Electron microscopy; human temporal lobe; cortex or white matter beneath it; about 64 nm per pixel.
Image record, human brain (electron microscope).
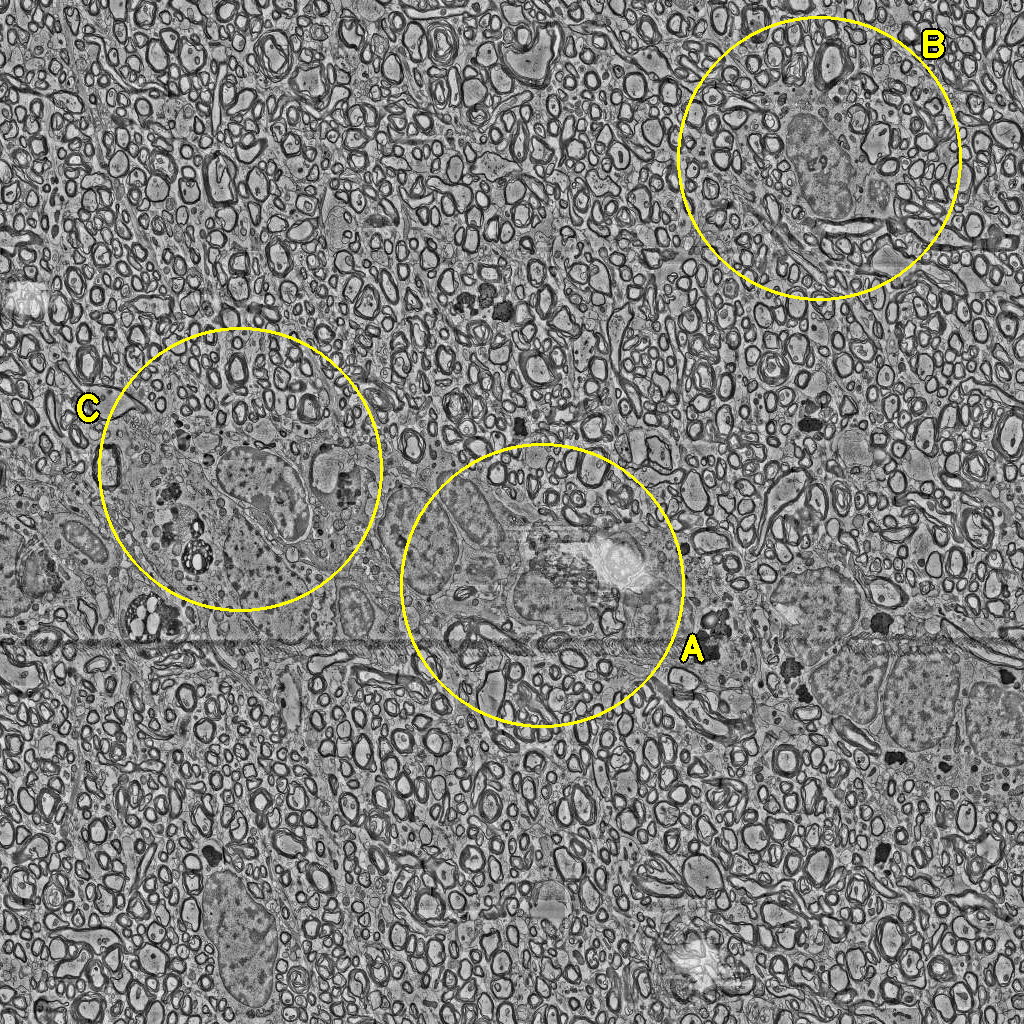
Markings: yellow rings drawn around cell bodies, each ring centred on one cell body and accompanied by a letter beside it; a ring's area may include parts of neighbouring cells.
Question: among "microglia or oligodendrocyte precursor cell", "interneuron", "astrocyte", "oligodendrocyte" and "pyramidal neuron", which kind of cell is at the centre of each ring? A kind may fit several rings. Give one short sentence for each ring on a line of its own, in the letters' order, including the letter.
Ring A is centred on the cell body of an oligodendrocyte.
Ring B is centred on the cell body of an oligodendrocyte.
Ring C is centred on the cell body of a microglial cell or oligodendrocyte precursor cell.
